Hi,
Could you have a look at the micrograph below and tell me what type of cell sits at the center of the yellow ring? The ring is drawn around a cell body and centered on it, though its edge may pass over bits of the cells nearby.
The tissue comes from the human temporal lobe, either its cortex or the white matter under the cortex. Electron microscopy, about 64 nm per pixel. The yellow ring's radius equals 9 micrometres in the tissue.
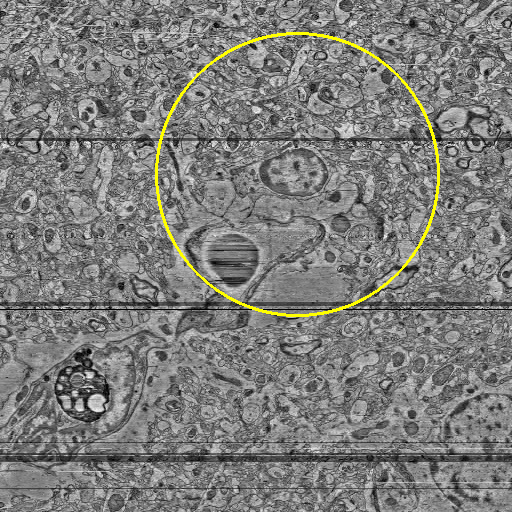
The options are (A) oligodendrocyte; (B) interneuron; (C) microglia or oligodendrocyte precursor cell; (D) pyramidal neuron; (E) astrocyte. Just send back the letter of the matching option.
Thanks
C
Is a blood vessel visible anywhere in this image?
Yes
